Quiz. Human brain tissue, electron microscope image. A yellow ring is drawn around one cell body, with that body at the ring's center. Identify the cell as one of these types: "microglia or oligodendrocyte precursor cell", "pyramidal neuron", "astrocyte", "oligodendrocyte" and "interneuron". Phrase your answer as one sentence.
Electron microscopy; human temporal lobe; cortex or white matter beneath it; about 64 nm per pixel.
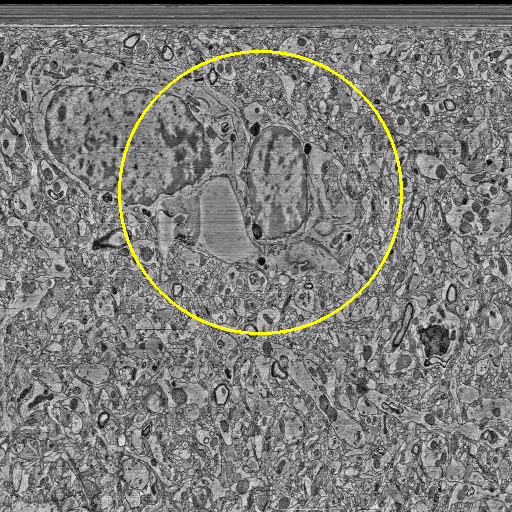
At the center of the ring sits a microglial cell or oligodendrocyte precursor cell.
